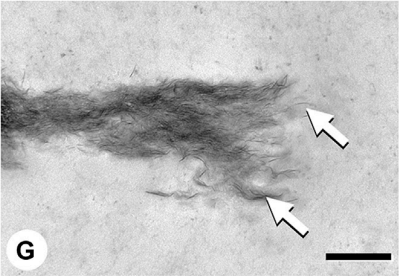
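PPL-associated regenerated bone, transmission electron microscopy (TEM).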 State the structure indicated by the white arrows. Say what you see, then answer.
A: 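Thin dark filaments fray out from the end of a dense elongated body. The body is made of many fine parallel needle-shaped elements.
Conclusion: fine needle-like mineral crystals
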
